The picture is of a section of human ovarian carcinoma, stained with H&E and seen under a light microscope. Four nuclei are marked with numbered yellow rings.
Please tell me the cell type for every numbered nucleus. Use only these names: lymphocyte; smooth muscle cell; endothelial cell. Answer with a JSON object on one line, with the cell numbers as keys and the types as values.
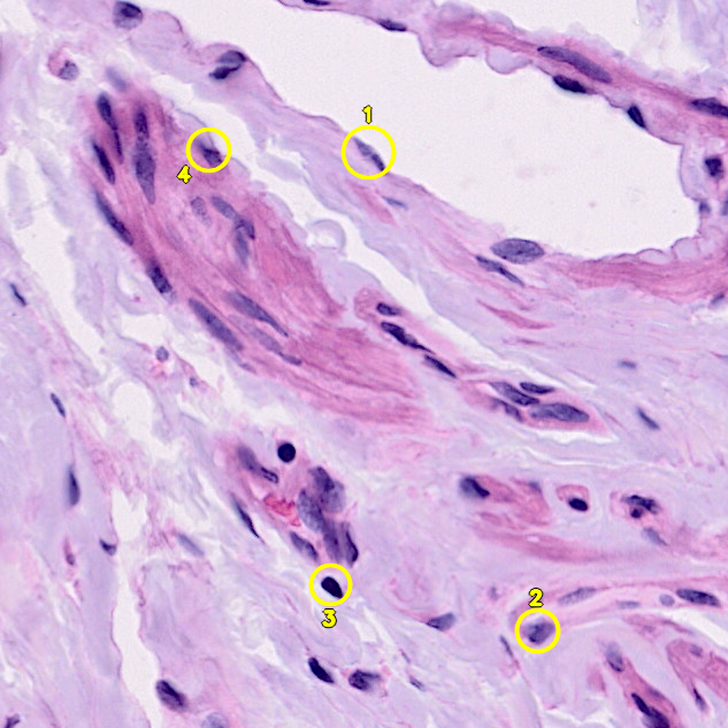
{"1": "endothelial cell", "2": "endothelial cell", "3": "lymphocyte", "4": "smooth muscle cell"}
